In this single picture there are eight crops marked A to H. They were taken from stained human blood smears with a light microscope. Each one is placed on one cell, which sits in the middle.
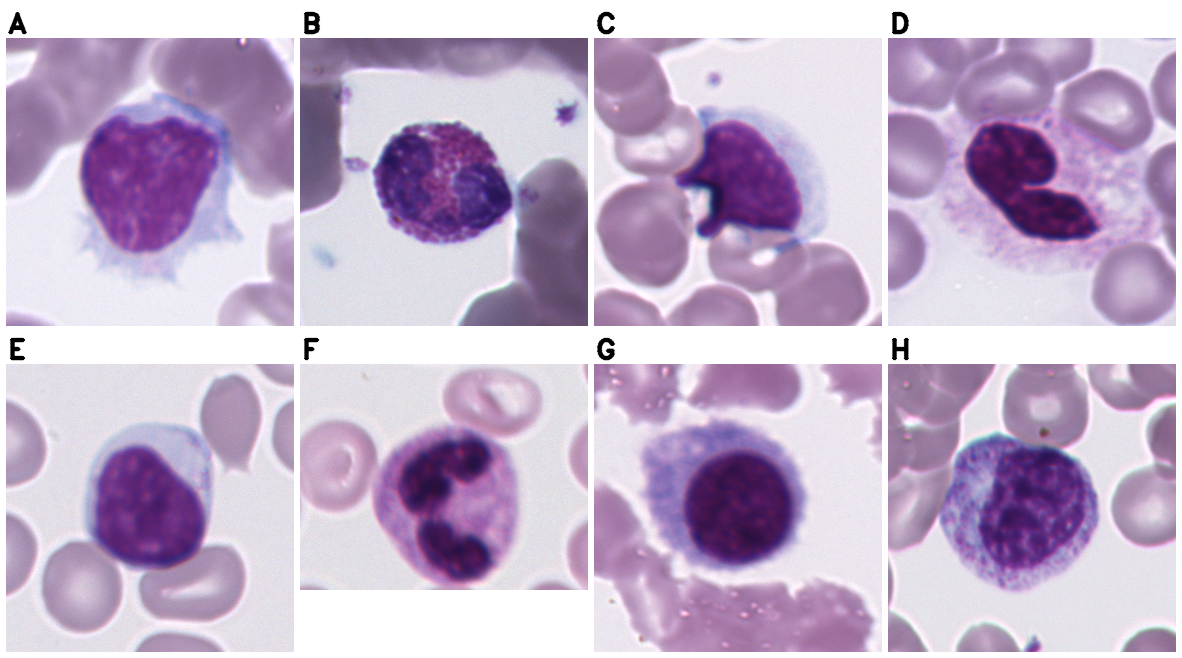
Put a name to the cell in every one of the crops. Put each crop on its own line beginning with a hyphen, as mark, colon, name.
- A: hairy cell
- B: eosinophil
- C: typical lymphocyte
- D: band neutrophil
- E: large granular lymphocyte
- F: segmented neutrophil
- G: hairy cell
- H: metamyelocyte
